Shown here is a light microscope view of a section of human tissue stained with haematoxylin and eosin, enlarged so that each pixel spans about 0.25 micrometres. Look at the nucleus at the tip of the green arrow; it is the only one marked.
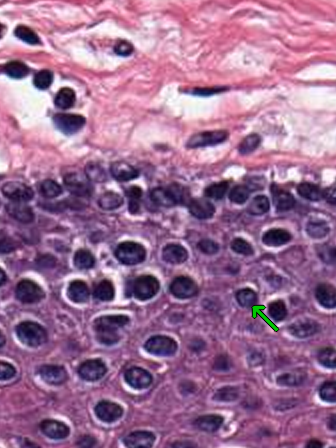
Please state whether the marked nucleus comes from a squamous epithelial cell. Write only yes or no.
yes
